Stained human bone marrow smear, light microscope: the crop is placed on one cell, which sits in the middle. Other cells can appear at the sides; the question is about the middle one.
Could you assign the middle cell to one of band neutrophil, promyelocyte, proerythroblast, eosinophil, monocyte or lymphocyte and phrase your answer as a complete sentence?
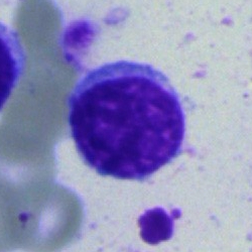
The crop's centre is taken up by a lymphocyte.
